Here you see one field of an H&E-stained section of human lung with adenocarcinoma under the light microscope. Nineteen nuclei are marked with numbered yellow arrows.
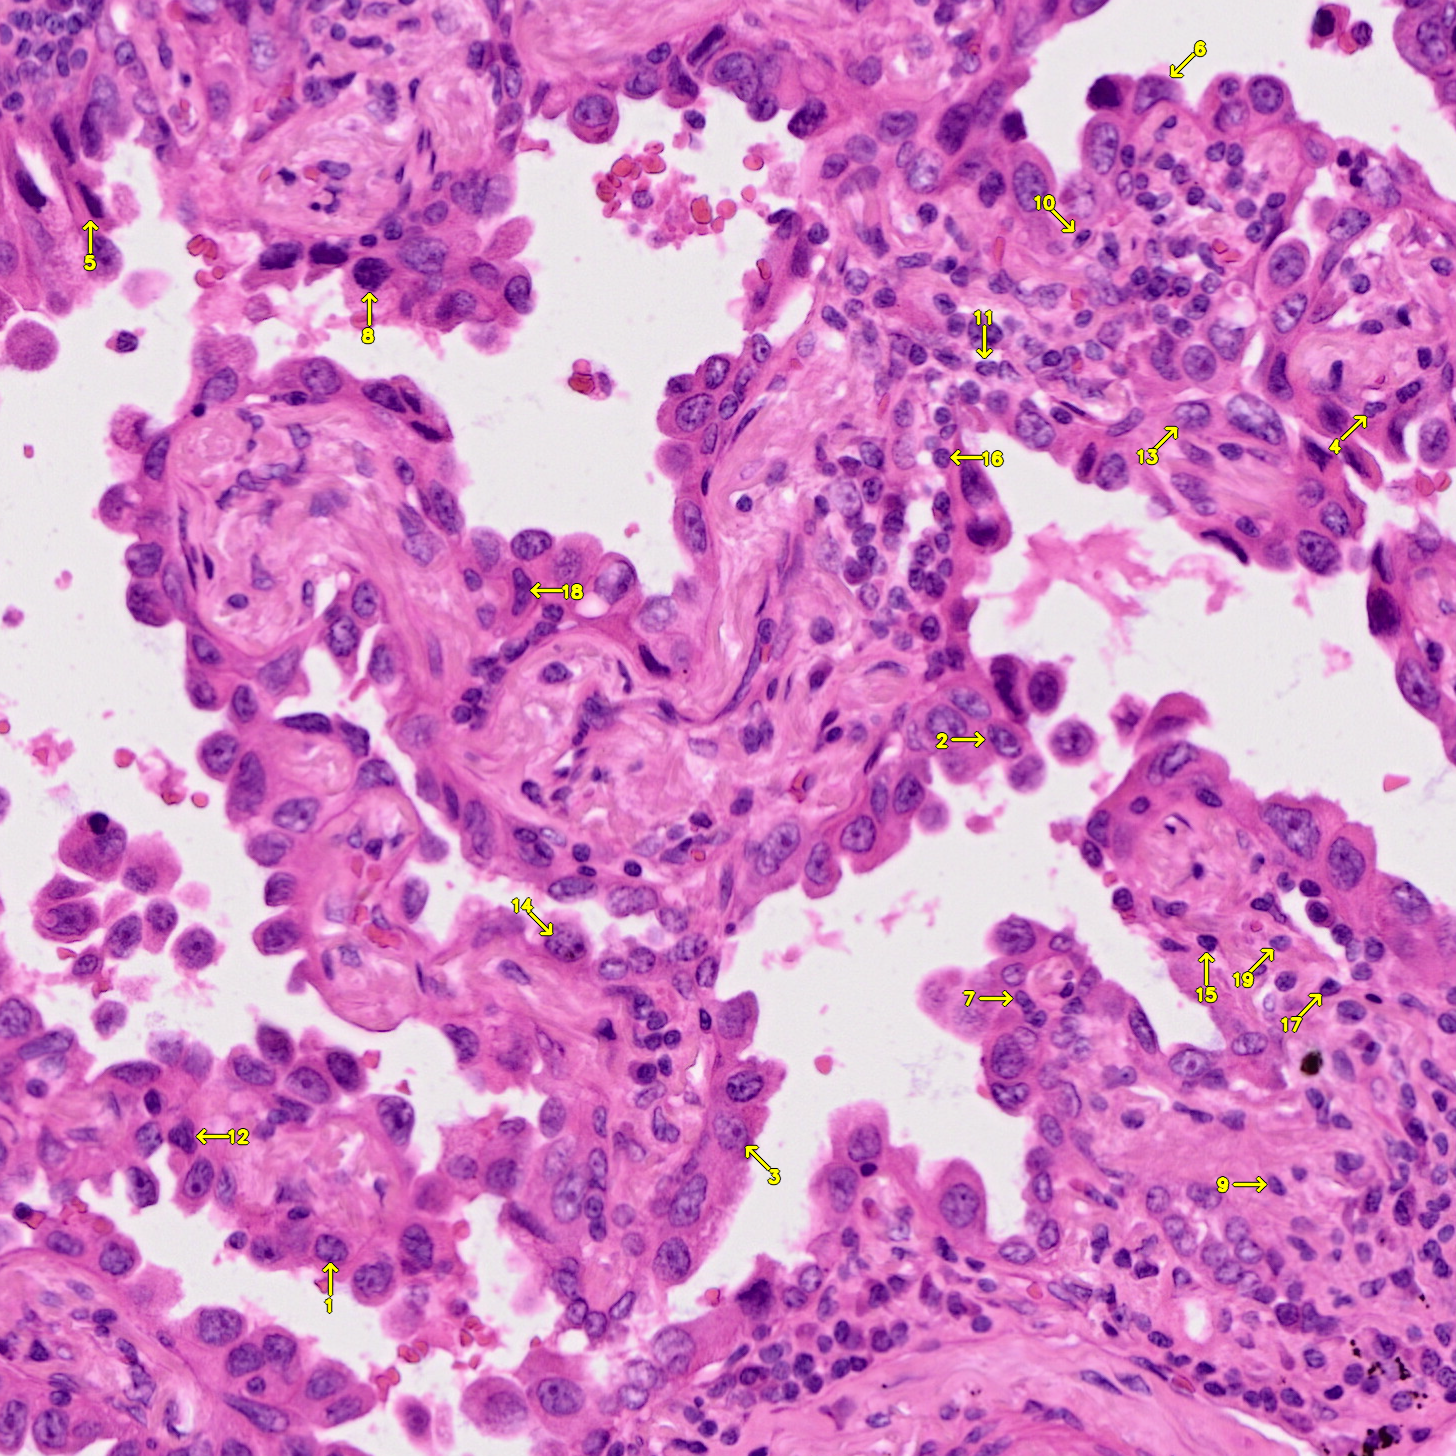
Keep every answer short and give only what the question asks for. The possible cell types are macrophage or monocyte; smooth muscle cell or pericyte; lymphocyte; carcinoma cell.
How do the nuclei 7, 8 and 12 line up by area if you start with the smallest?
7, 12, 8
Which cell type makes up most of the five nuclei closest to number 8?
lymphocyte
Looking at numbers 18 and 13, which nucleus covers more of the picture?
13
